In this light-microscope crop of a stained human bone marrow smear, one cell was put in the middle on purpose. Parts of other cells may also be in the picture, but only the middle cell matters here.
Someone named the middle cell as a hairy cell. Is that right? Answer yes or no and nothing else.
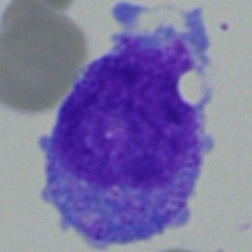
no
